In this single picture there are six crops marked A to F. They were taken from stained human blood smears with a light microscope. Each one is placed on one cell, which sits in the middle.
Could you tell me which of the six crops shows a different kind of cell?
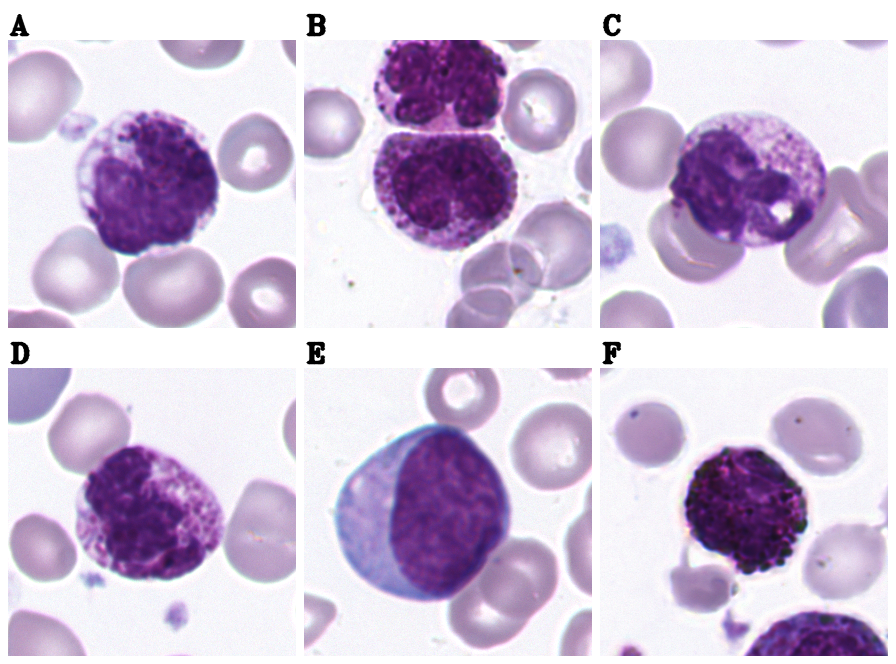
E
